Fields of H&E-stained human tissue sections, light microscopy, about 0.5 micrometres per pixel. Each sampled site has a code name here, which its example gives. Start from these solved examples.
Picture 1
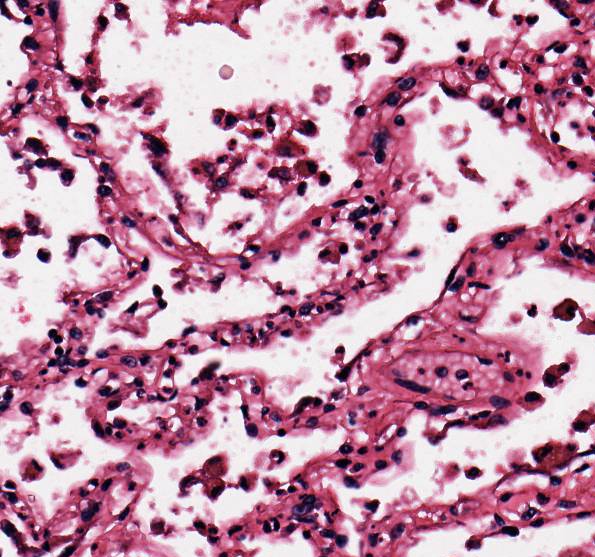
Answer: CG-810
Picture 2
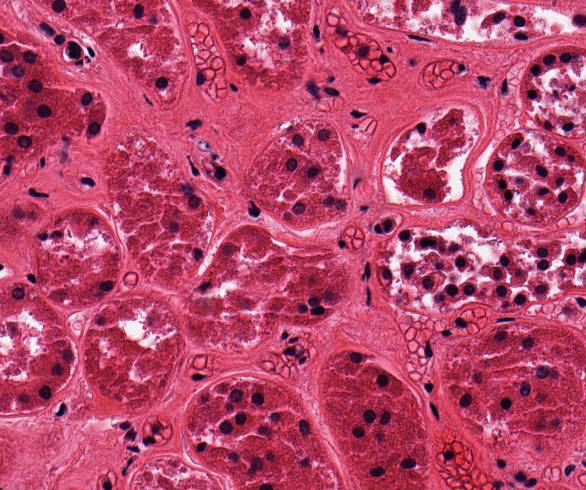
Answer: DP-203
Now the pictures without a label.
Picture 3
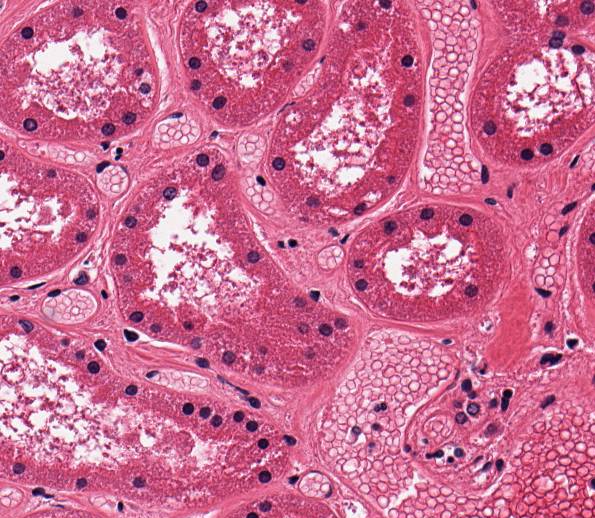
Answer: DP-203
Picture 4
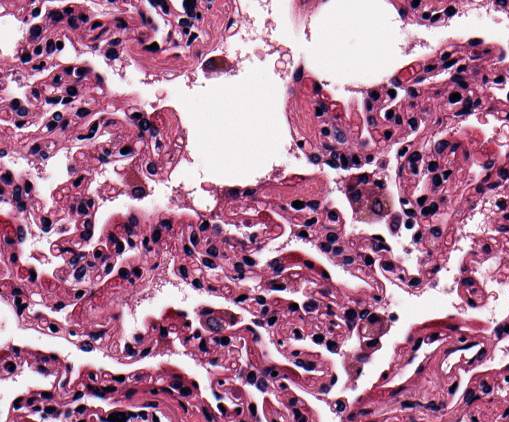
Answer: CG-810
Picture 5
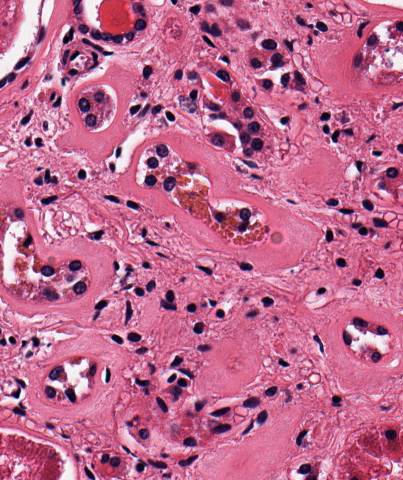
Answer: DP-203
